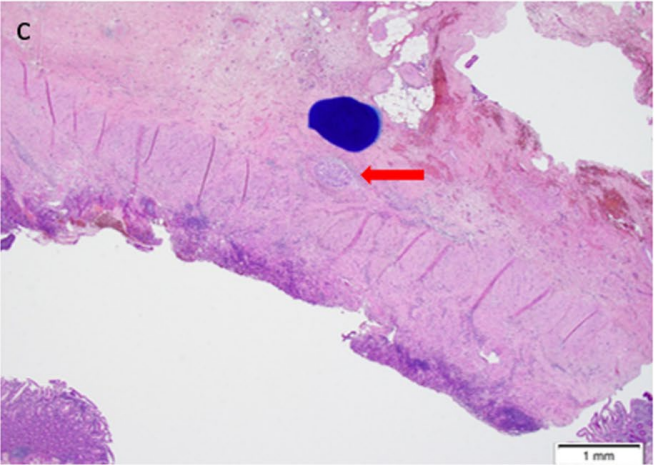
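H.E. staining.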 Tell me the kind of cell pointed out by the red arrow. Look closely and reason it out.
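A small, rounded, well-circumscribed nest of cells sits within the pink fibrous wall. The nest lies deep to the mucosal surface, next to a dark blue blob. That points to this answer: A cluster of tumor cells.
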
